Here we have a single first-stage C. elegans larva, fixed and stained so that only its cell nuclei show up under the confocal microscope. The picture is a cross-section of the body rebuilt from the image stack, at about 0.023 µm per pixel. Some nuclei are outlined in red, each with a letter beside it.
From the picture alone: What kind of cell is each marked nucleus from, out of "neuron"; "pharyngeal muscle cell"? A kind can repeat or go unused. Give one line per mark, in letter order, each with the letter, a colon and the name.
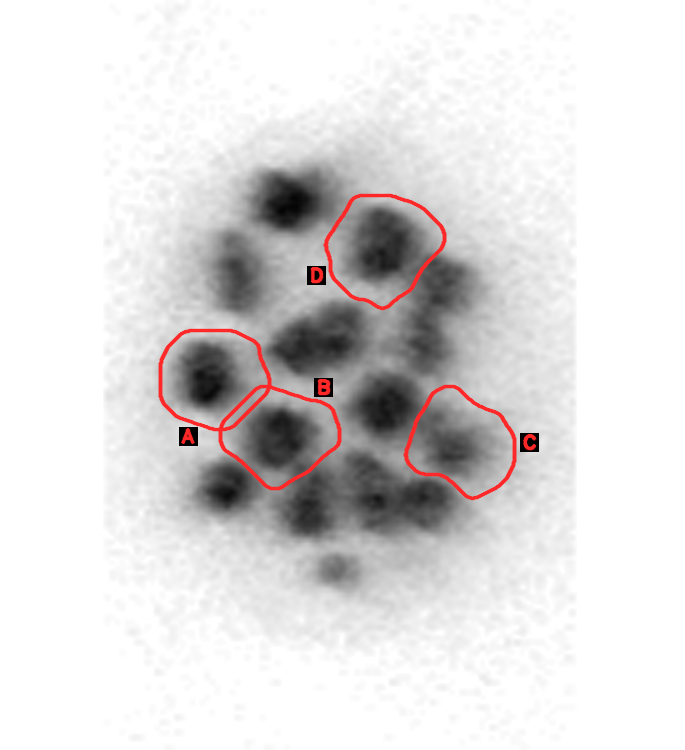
A: neuron
B: pharyngeal muscle cell
C: neuron
D: neuron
